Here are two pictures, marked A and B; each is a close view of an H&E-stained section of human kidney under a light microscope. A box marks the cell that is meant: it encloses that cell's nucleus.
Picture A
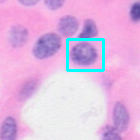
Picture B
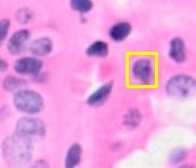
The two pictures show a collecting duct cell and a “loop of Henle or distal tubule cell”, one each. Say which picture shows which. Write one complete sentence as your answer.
Picture B shows a “loop of Henle or distal tubule cell”, while picture A shows a collecting duct cell.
